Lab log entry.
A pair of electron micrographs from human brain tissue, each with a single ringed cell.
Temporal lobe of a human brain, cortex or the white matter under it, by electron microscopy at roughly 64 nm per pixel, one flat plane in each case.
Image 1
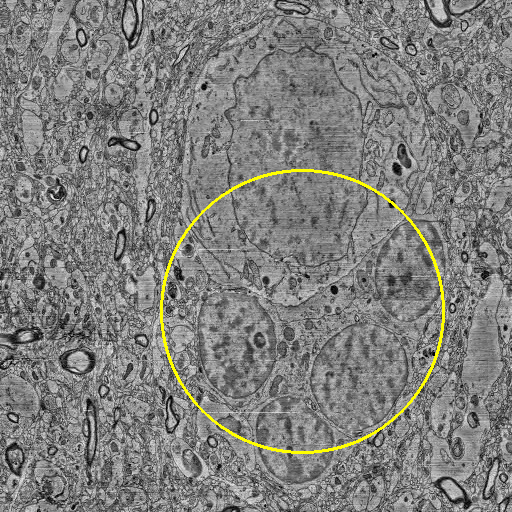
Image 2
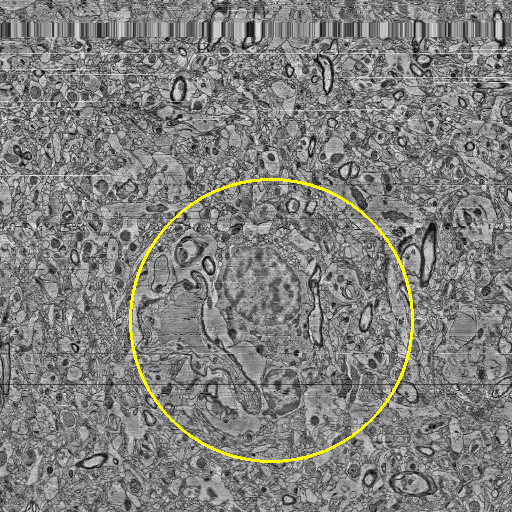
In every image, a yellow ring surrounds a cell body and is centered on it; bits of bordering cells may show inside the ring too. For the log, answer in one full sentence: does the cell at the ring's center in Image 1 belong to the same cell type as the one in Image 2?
Yes, the cells at the ring centers in Image 1 and Image 2 share one type.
